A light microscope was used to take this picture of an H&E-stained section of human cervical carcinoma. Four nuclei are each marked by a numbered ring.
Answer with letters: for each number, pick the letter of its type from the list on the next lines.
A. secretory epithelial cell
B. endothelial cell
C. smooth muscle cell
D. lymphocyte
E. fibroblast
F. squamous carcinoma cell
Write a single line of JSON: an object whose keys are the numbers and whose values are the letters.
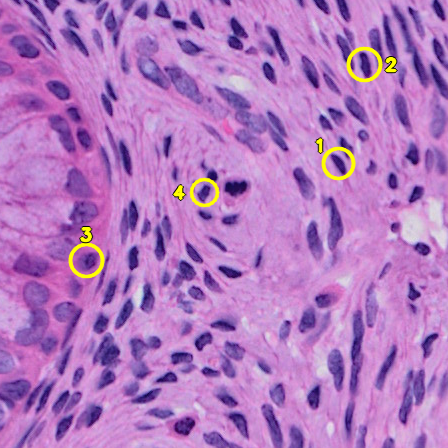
{"1": "E", "2": "E", "3": "A", "4": "E"}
